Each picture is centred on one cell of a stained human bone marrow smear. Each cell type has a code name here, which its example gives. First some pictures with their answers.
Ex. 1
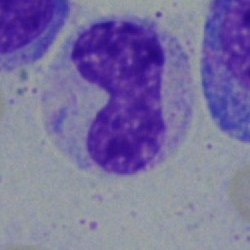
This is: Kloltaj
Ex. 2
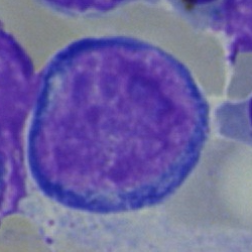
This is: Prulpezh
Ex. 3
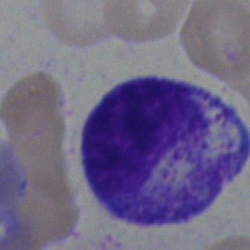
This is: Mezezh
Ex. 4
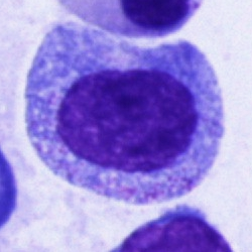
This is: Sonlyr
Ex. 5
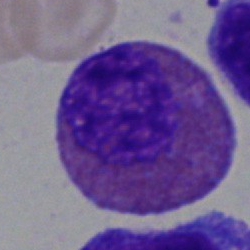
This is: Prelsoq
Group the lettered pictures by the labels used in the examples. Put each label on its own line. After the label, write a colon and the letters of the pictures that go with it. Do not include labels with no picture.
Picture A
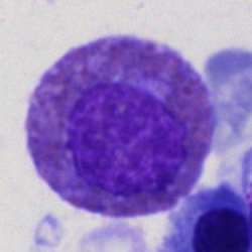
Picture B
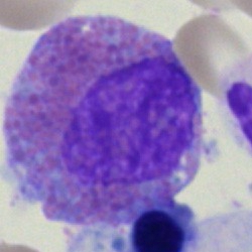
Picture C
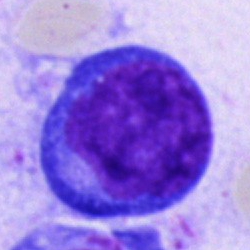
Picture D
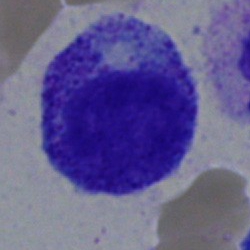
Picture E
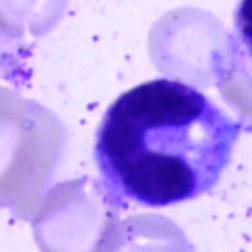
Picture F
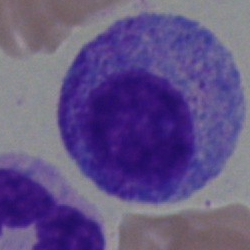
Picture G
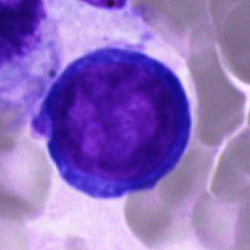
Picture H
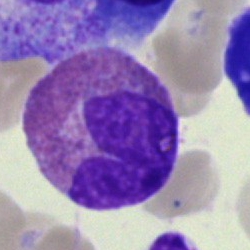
Kloltaj: E
Prulpezh: C, G
Mezezh: D, F
Prelsoq: A, B, H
